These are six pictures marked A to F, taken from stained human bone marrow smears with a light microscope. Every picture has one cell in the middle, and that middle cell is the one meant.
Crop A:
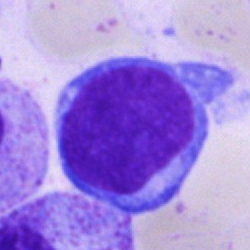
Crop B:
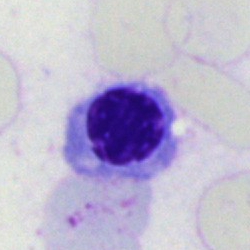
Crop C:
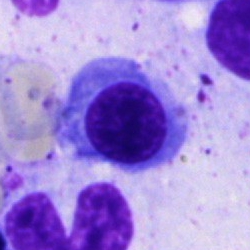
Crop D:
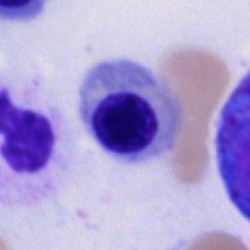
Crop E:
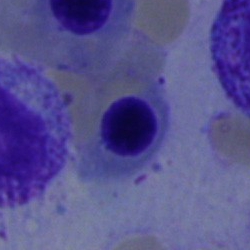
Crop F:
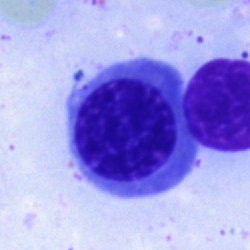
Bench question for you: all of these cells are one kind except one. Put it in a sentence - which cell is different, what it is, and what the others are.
Crop A differs from its companions, showing a blast where they show erythroblasts.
